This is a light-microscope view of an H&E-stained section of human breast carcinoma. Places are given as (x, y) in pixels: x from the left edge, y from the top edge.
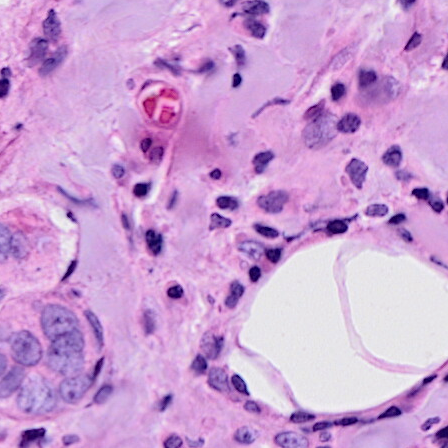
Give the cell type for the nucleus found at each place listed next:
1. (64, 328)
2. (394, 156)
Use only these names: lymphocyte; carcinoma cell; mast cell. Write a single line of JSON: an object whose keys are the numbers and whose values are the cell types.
{"1": "carcinoma cell", "2": "lymphocyte"}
